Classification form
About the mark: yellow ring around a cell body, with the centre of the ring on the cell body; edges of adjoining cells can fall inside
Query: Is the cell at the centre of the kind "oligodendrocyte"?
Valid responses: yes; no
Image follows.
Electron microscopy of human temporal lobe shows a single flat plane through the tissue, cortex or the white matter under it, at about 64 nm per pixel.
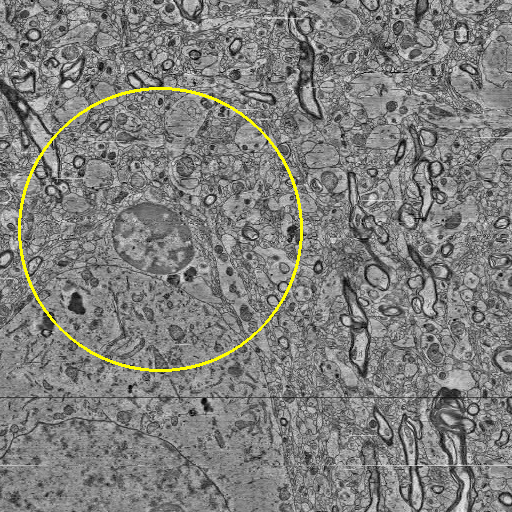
no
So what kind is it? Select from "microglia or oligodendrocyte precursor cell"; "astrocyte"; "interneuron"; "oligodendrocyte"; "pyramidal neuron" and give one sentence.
Instead, the ringed cell here is a microglial cell or oligodendrocyte precursor cell.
